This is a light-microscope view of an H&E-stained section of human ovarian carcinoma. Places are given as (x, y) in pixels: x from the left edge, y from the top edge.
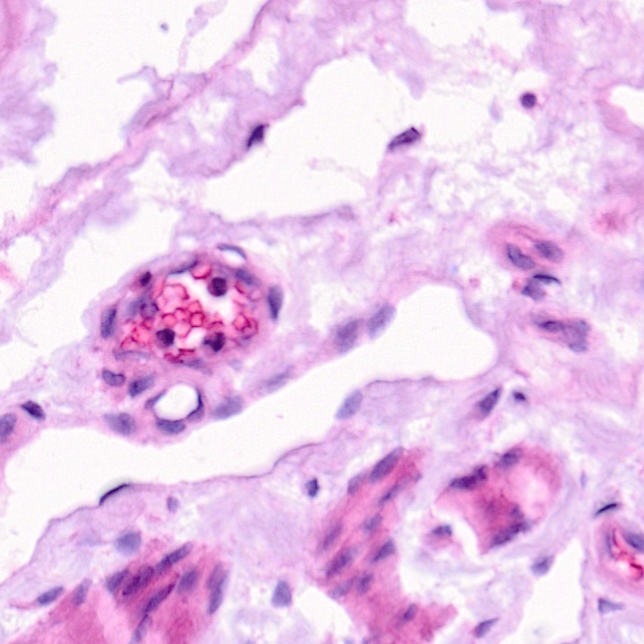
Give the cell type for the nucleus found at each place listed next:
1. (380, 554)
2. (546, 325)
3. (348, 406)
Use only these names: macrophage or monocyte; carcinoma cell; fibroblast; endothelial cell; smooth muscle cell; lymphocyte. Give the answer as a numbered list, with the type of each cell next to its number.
1. smooth muscle cell
2. endothelial cell
3. endothelial cell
